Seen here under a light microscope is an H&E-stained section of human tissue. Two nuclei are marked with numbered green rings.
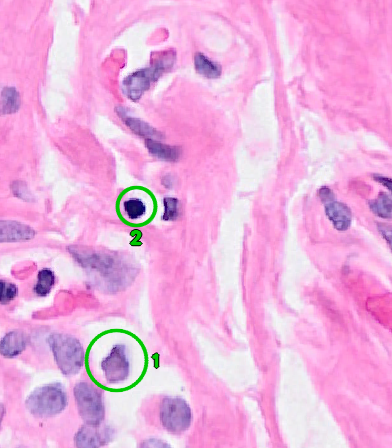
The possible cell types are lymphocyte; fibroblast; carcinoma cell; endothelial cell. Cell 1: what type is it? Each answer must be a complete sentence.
In this section, number 1 marks a carcinoma cell.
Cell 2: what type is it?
The cell identified by the number 2 is a lymphocyte.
